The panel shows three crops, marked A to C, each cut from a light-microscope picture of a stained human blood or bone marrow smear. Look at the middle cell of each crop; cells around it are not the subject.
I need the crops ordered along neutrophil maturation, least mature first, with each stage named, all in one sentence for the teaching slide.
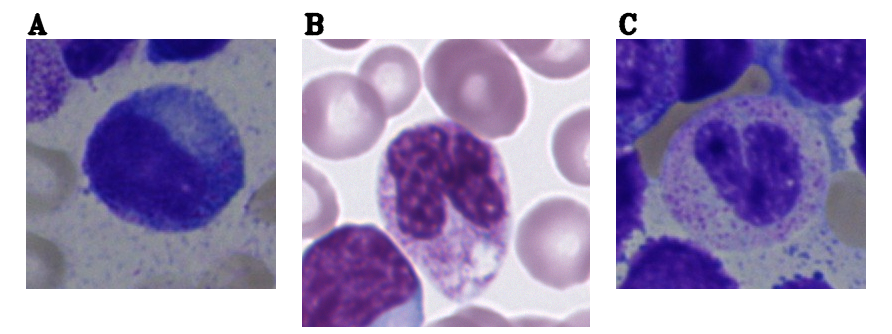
The order of increasing maturity among the crops is crop A (a myelocyte), crop C (a band neutrophil) and crop B (a segmented neutrophil).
